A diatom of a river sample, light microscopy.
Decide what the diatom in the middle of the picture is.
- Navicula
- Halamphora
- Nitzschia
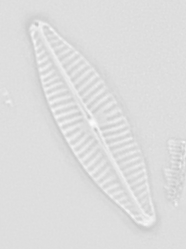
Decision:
Navicula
